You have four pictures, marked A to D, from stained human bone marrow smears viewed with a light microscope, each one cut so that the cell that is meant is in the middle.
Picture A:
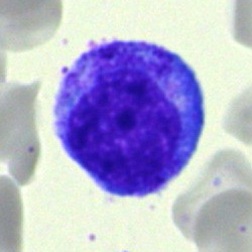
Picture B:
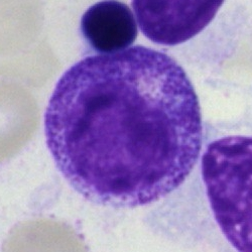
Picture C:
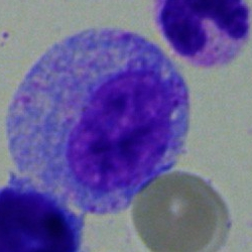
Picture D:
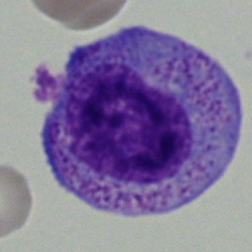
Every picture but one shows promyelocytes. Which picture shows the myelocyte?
C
